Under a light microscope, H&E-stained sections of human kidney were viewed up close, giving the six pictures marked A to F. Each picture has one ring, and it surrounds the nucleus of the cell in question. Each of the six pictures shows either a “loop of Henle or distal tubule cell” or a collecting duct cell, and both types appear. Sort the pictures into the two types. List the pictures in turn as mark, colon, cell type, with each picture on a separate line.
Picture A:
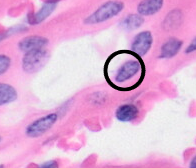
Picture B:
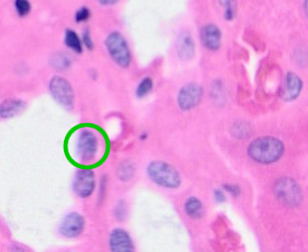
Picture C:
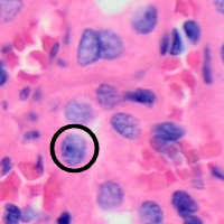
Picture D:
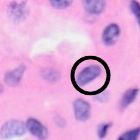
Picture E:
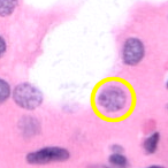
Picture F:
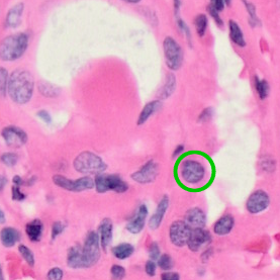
A: collecting duct cell
B: loop of Henle or distal tubule cell
C: loop of Henle or distal tubule cell
D: collecting duct cell
E: loop of Henle or distal tubule cell
F: loop of Henle or distal tubule cell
